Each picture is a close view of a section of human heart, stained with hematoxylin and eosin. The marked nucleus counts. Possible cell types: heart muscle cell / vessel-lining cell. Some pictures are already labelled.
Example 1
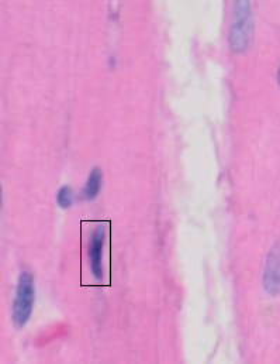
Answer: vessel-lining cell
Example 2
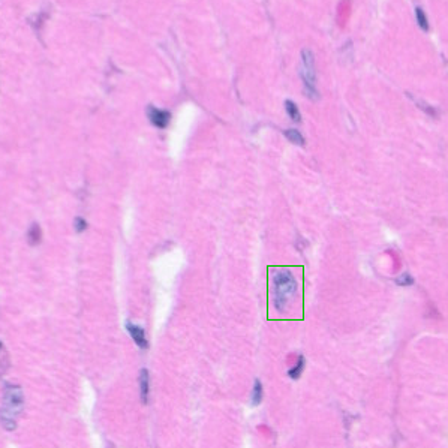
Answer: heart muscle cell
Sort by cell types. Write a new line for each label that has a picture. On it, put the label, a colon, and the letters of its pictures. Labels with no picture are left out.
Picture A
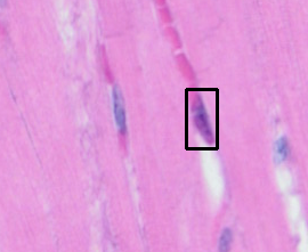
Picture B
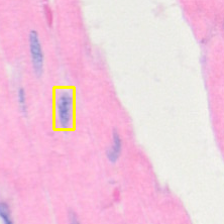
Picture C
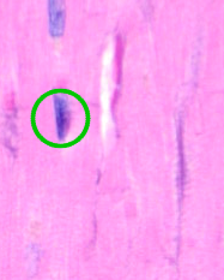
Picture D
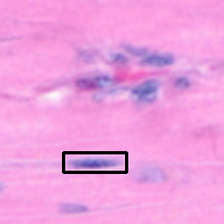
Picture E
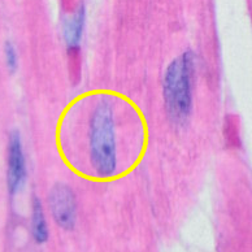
heart muscle cell: E
vessel-lining cell: A, B, C, D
